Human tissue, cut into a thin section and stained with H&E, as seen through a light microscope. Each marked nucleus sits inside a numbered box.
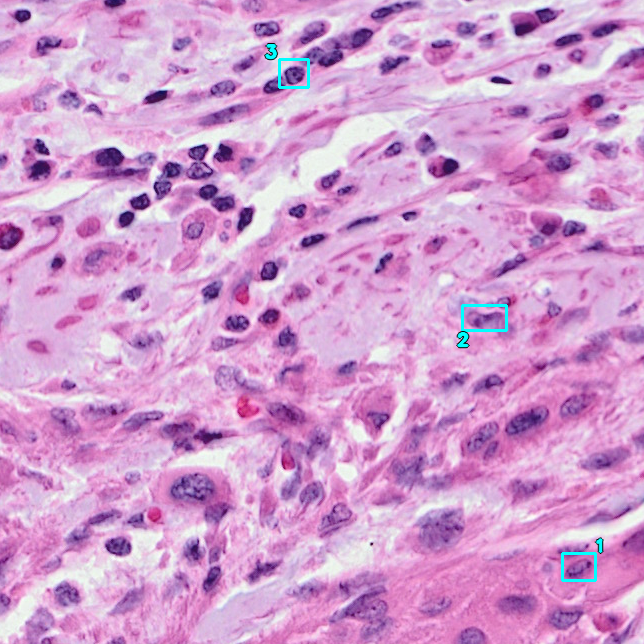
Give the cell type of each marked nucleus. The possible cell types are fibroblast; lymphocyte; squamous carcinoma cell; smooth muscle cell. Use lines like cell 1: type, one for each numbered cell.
cell 1: squamous carcinoma cell
cell 2: fibroblast
cell 3: lymphocyte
